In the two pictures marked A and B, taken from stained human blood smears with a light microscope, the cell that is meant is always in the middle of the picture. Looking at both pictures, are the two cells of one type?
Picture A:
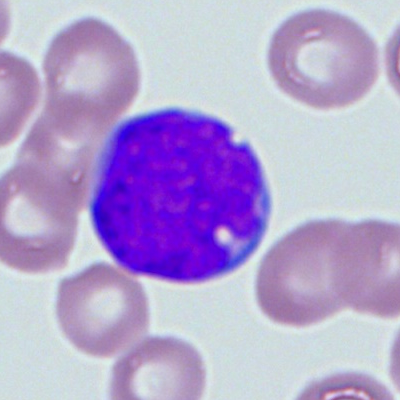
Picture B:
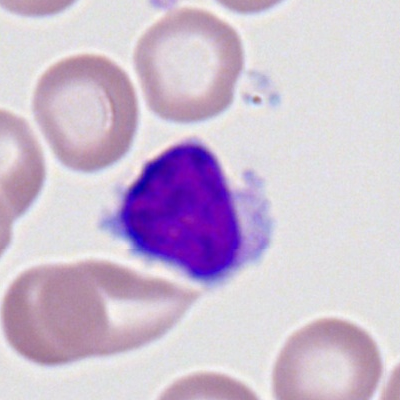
no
